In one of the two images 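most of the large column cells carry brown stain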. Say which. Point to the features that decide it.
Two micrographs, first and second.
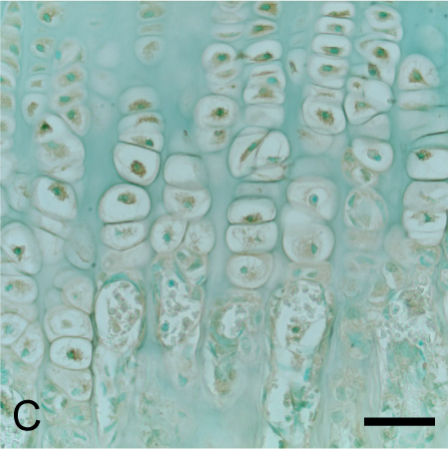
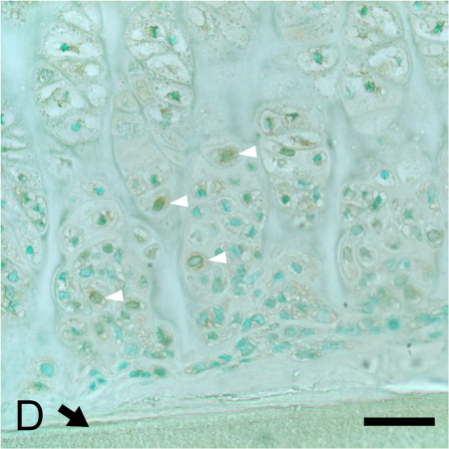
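Second image: most nuclei are green, only a few small cells show brown. First image: many of the large stacked cells show brown-stained nuclei. That points to this answer: the first image.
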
